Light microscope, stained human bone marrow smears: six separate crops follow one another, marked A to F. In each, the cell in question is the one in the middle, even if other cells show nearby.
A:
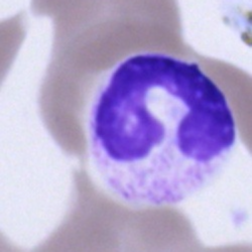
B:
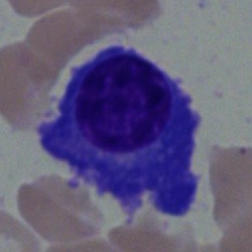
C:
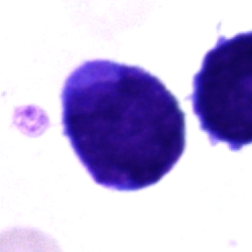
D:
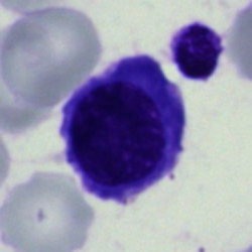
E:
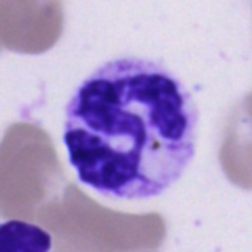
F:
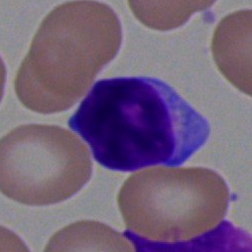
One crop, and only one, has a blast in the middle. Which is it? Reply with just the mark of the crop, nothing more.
C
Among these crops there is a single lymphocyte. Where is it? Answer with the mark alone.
F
